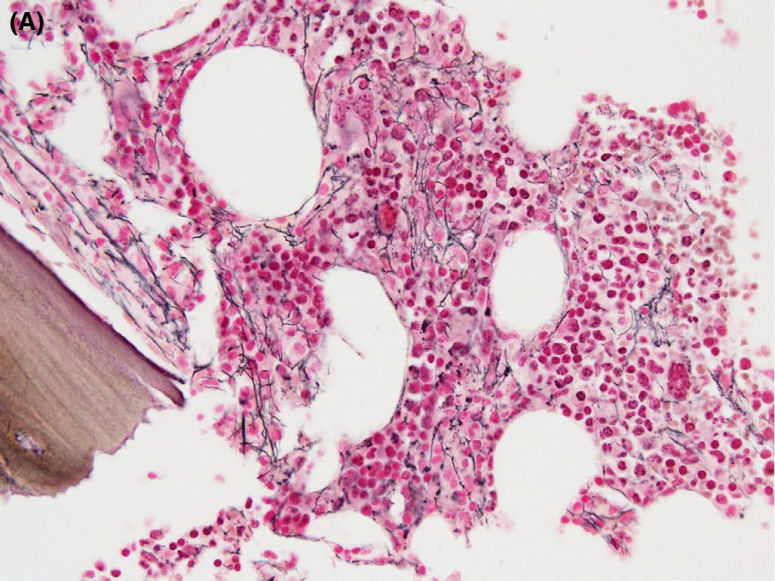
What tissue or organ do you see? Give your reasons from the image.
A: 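A piece of bony trabecula lies at the left edge. Round empty fat spaces sit among densely packed hematopoietic cells. Scattered large cells with lobed nuclei lie among the smaller cells.
Answer: bone marrow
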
